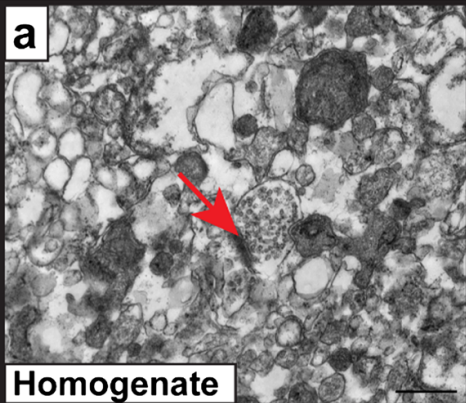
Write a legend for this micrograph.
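The field is packed with irregular membrane fragments, pale empty vesicular profiles of many sizes, and scattered dark, electron-dense organelles, including a large round dark body near the upper middle. Near the centre a rounded membrane-bound profile is filled with numerous small, uniform, clear round vesicles, the typical content of a nerve terminal. Around it lie fibrous and granular material and torn membranes, so that little of the original tissue organisation is preserved.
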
